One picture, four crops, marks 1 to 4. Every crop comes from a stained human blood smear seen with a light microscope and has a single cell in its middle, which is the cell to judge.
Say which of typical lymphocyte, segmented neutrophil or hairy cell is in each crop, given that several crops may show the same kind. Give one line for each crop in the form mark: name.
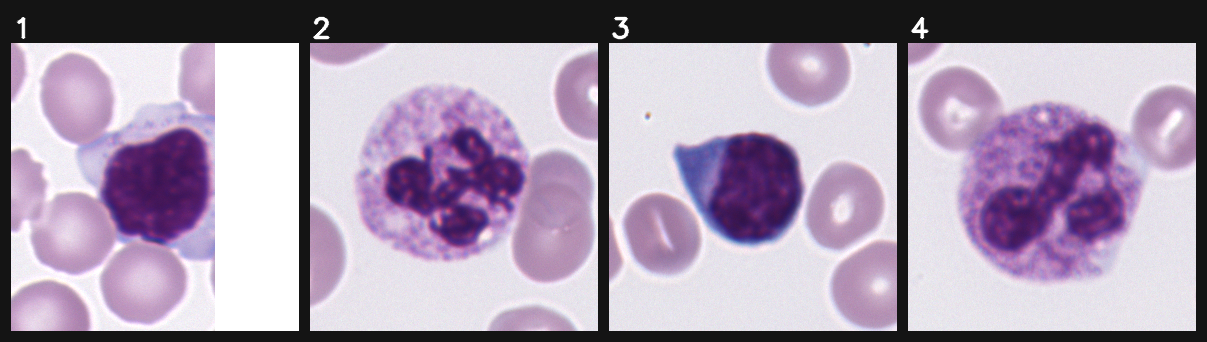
1: typical lymphocyte
2: segmented neutrophil
3: typical lymphocyte
4: segmented neutrophil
